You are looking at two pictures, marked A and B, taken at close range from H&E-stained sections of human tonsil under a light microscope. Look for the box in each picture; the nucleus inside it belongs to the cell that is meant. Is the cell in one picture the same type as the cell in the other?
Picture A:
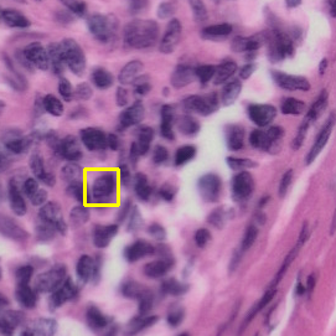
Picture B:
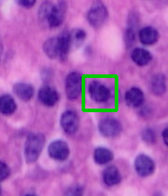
no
